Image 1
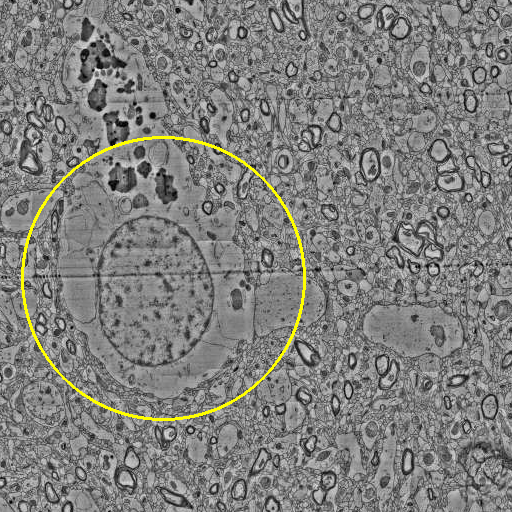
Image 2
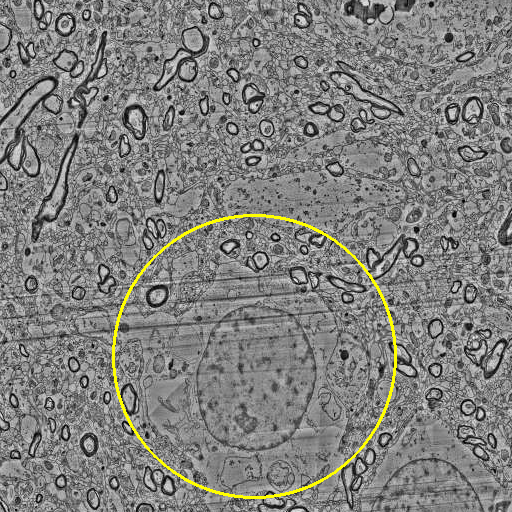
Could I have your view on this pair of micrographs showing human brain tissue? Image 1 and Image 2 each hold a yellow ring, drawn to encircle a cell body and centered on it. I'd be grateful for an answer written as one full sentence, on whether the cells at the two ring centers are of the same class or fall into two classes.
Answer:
The cells at the centers of the two rings are of the same class.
